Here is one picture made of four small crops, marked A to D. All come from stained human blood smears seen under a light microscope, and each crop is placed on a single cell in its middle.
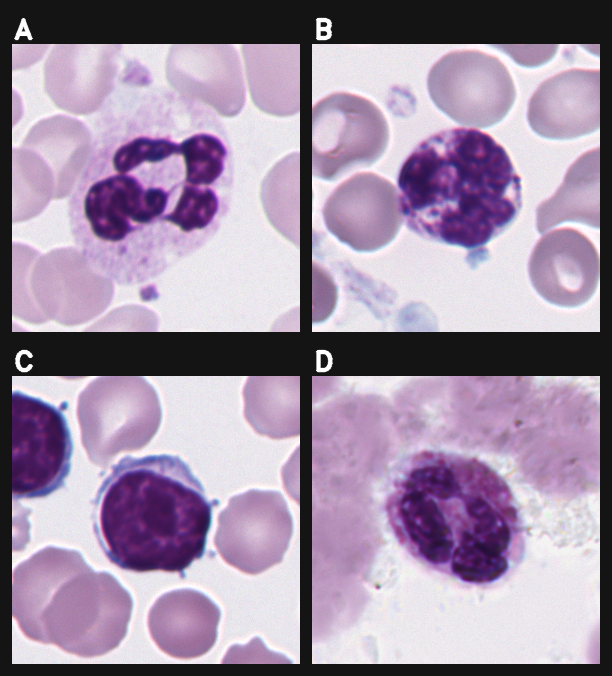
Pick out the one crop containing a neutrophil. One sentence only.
It is crop A that shows a neutrophil.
